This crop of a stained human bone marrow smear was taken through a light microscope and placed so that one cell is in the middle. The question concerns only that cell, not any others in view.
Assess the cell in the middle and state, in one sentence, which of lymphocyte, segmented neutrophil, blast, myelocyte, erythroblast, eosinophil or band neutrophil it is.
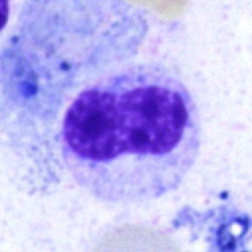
The cell at the heart of this crop is a band neutrophil.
